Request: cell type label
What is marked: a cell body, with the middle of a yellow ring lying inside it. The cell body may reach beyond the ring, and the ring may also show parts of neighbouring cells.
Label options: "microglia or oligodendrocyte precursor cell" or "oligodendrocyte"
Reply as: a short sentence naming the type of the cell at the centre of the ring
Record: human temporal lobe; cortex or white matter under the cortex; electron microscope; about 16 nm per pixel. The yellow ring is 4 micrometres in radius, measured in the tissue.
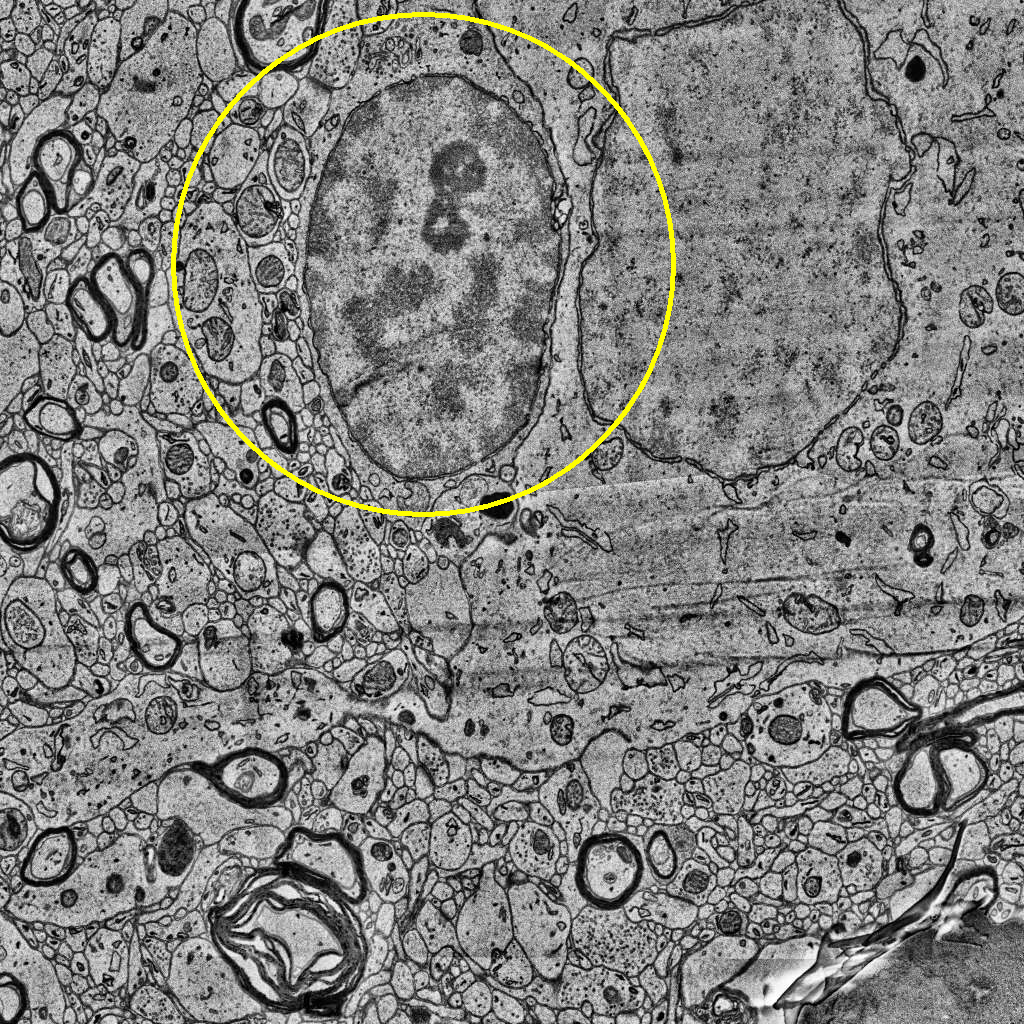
The marked cell body is that of an oligodendrocyte.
